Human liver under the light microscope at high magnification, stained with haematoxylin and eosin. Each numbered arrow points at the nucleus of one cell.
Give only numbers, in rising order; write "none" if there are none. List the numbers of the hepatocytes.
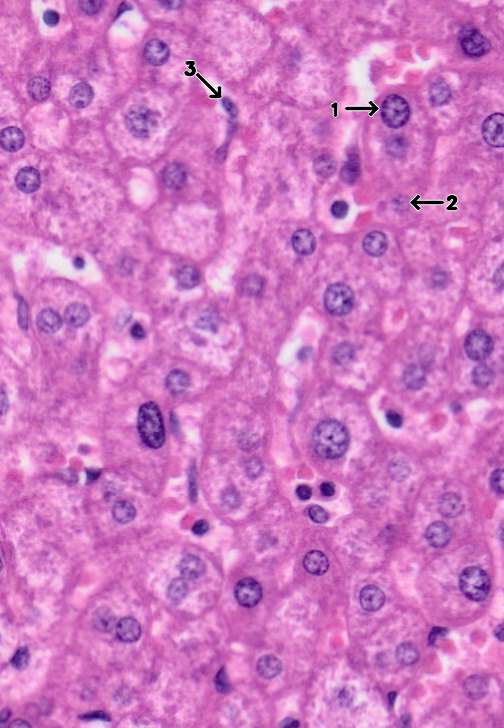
1, 2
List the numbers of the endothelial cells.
none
